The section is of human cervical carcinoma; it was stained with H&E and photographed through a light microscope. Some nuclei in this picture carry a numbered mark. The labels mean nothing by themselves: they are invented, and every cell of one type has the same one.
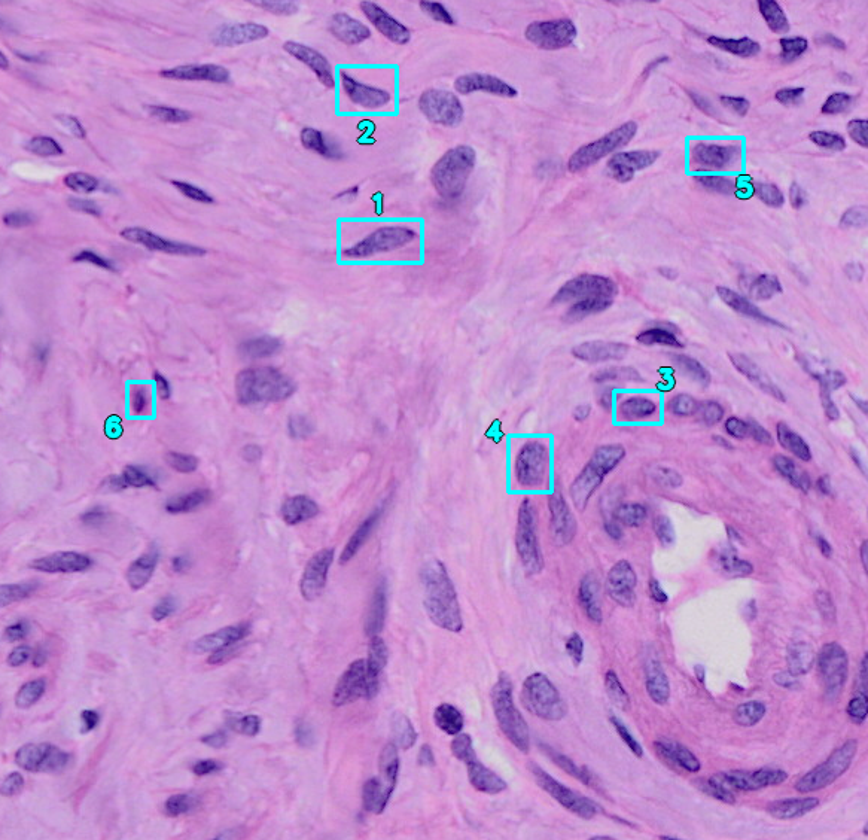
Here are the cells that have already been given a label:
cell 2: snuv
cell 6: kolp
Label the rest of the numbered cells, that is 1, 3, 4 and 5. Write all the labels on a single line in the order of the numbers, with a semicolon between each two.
snuv; kolp; kolp; snuv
